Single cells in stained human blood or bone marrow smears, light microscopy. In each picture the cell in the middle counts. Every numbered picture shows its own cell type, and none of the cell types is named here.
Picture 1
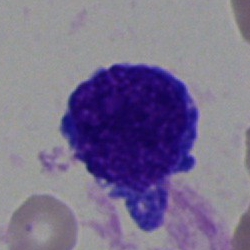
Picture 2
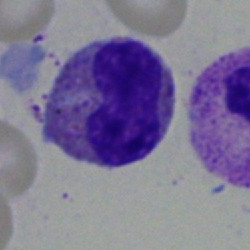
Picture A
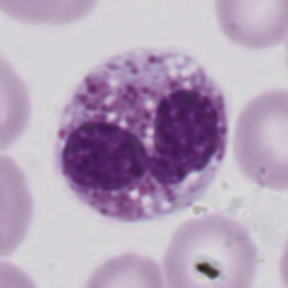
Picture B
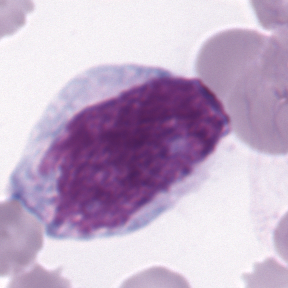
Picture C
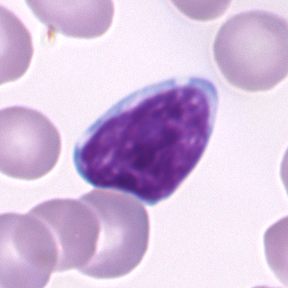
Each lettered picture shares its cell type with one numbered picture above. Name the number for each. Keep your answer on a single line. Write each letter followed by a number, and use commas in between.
A 2, B 1, C 1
